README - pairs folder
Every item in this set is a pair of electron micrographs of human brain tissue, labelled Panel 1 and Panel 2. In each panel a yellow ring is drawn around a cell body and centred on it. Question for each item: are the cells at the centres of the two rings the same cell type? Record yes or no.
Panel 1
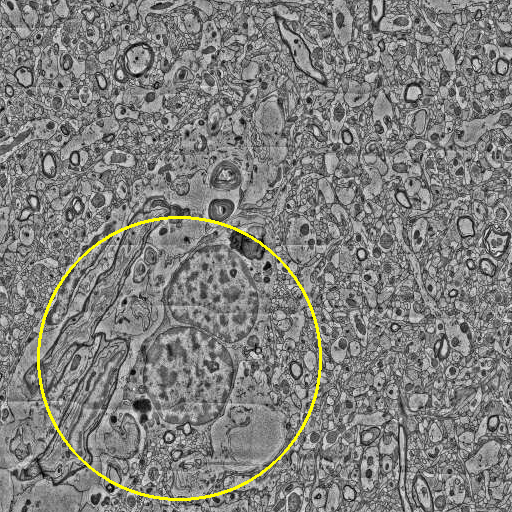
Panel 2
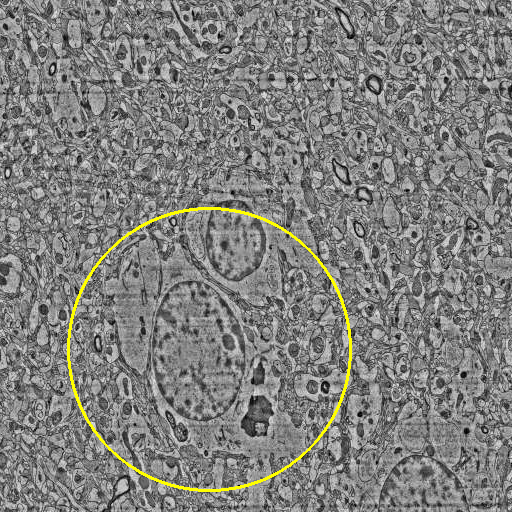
no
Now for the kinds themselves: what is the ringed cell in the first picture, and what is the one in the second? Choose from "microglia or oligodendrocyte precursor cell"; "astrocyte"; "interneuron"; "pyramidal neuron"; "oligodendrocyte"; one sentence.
Here the first cell is an oligodendrocyte and the second cell is an astrocyte.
